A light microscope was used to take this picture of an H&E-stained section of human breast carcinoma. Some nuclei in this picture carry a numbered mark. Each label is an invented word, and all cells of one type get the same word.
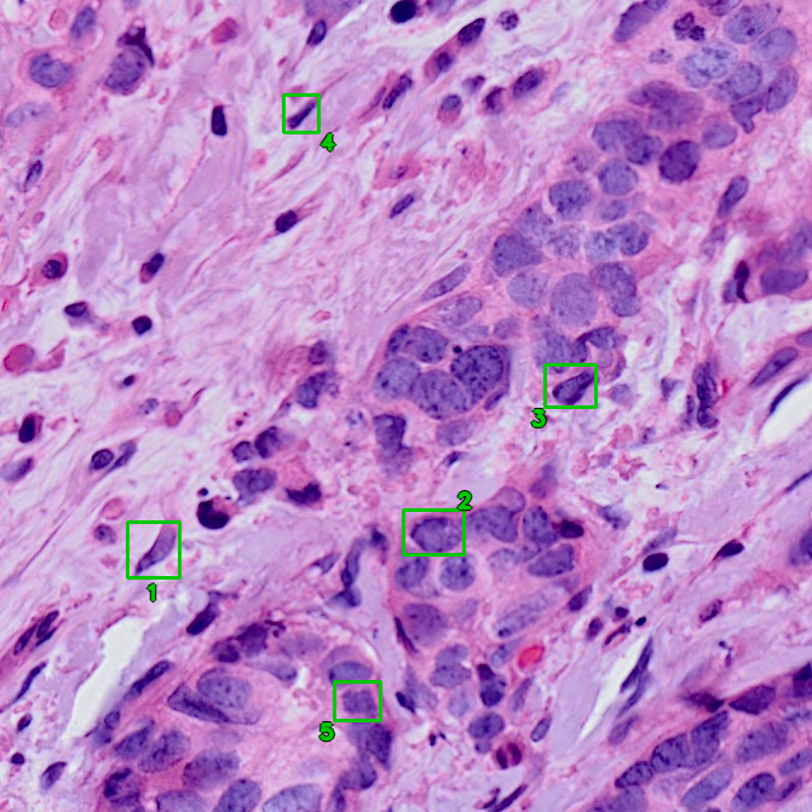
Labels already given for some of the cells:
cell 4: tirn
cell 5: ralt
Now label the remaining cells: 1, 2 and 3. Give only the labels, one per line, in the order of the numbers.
tirn
ralt
ralt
